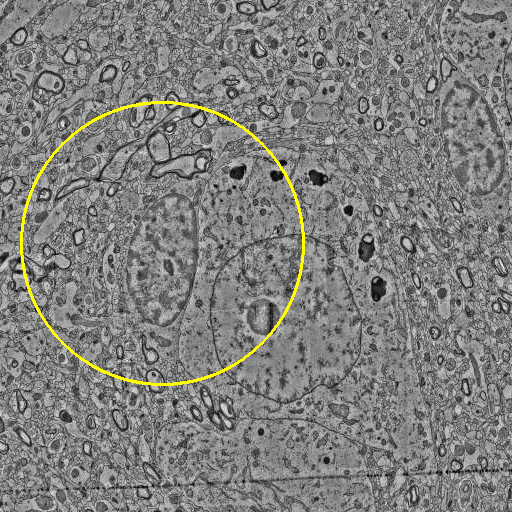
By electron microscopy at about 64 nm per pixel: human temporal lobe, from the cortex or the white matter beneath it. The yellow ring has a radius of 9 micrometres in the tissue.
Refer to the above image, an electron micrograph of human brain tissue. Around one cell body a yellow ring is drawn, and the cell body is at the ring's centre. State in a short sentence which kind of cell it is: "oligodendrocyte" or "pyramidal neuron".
The centre of the ring falls on an oligodendrocyte.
